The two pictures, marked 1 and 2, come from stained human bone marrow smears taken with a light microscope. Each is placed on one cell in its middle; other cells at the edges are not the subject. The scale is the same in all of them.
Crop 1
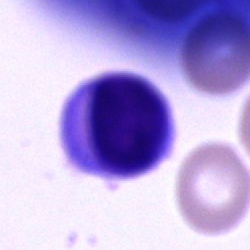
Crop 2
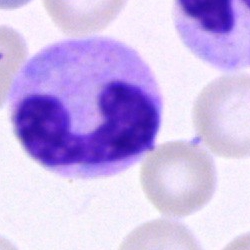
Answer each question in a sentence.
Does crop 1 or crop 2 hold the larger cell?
Crop 2 holds the larger cell; it covers about 2 times the area of the cell in crop 1.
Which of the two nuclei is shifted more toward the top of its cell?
It is the nucleus in crop 1 that lies further toward the top of its cell.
